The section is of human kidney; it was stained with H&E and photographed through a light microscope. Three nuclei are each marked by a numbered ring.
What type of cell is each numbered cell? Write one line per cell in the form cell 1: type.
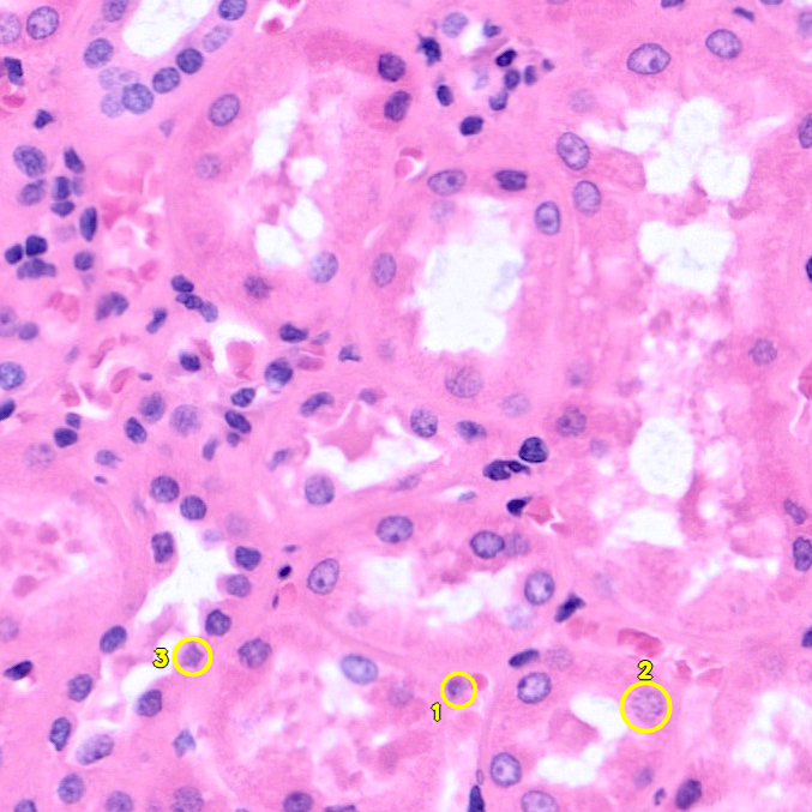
cell 1: endothelial cell
cell 2: proximal tubule cell
cell 3: loop of Henle or distal tubule cell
